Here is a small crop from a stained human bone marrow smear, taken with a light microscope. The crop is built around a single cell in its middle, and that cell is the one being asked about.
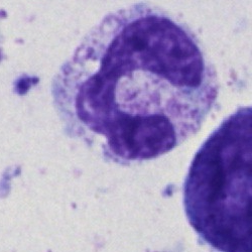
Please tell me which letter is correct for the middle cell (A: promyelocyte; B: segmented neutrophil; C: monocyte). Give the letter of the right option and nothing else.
B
